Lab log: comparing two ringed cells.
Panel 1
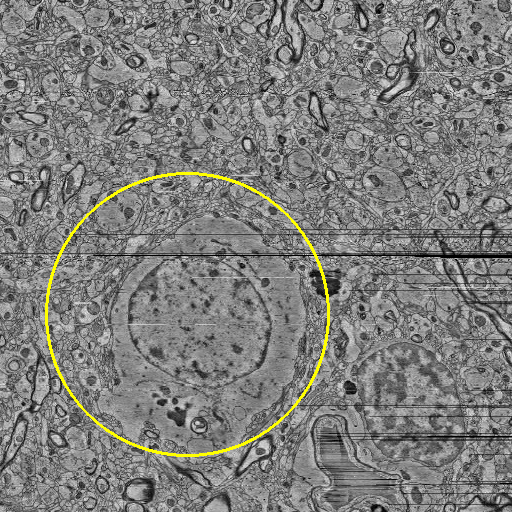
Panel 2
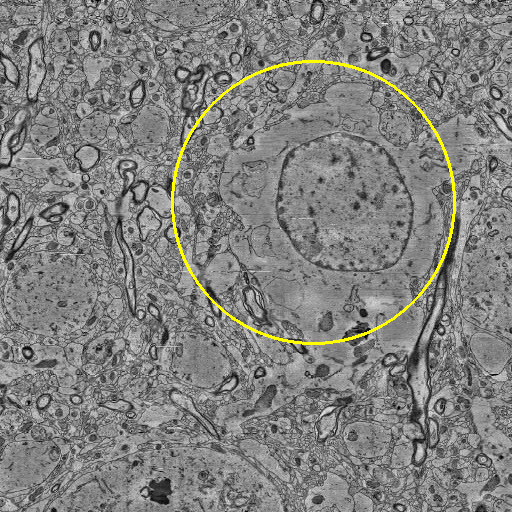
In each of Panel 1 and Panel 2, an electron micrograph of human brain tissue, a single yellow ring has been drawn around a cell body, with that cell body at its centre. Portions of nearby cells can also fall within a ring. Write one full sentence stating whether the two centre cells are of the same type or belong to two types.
The cells at the ring centres in Panel 1 and Panel 2 are of the same type.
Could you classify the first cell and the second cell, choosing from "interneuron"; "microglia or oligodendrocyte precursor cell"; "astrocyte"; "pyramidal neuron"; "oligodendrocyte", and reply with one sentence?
Each of the two cells is an astrocyte.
